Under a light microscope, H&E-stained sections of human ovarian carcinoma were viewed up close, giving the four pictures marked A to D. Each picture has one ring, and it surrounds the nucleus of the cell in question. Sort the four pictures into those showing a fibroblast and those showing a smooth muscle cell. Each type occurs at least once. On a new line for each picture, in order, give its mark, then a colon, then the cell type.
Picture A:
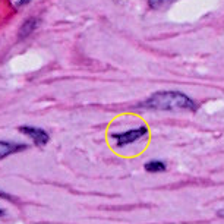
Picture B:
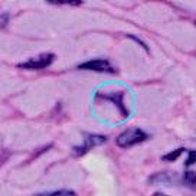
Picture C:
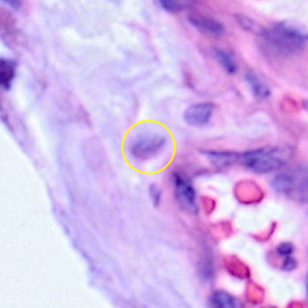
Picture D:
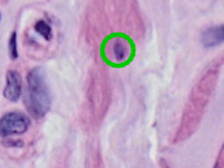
A: fibroblast
B: fibroblast
C: fibroblast
D: smooth muscle cell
